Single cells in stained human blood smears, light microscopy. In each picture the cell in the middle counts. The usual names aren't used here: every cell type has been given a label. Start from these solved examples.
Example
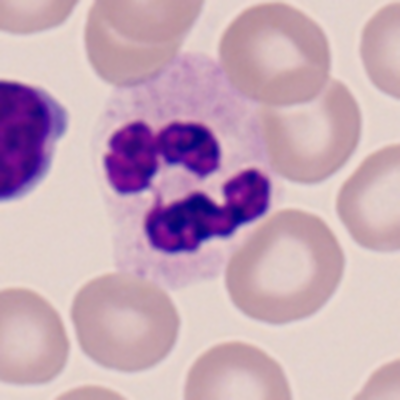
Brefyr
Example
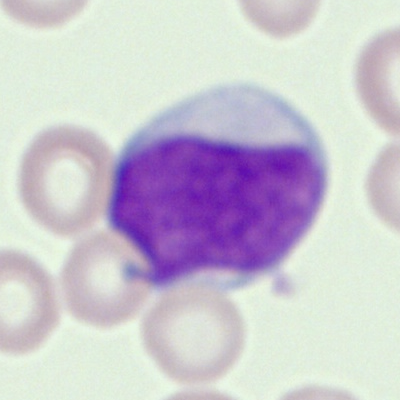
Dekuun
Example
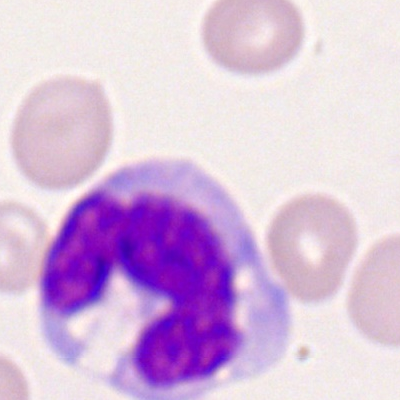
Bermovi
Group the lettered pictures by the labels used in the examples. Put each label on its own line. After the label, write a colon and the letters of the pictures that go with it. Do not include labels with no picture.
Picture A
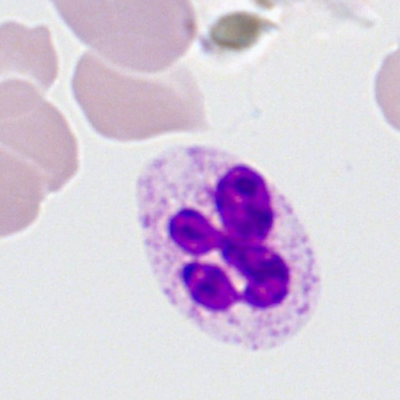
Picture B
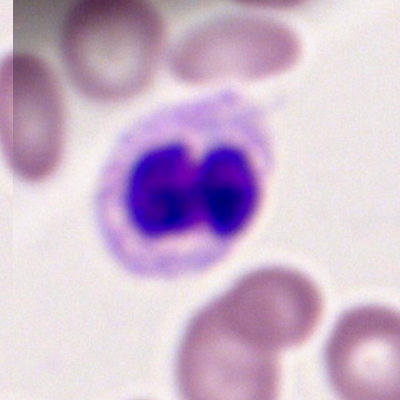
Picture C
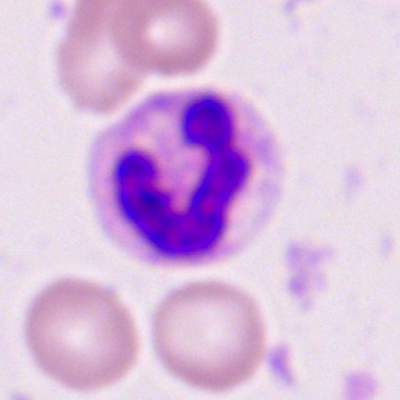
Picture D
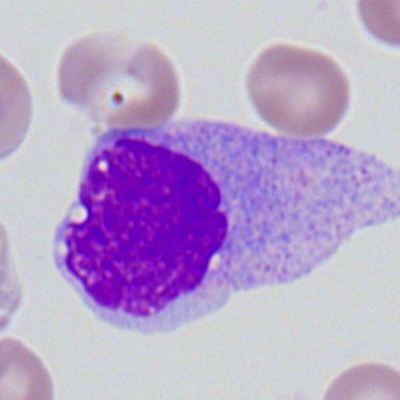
Brefyr: A, B, C
Bermovi: D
